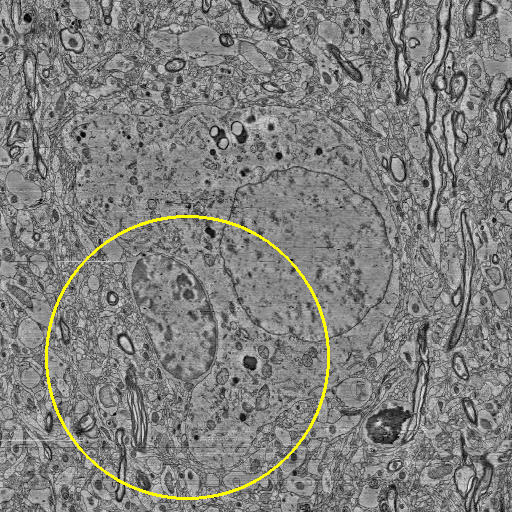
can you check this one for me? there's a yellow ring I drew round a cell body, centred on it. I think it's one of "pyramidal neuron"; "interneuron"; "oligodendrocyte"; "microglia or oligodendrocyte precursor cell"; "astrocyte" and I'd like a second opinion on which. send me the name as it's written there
oligodendrocyte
